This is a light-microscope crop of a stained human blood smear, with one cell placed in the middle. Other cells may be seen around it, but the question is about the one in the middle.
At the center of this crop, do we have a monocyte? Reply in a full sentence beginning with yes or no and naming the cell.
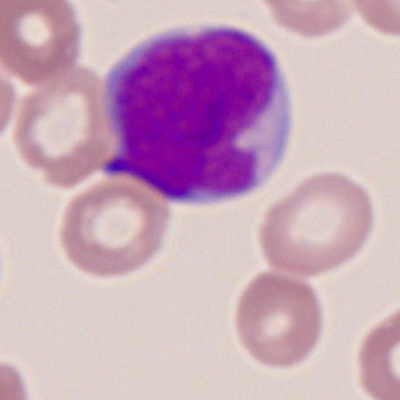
No, instead of being a monocyte, the middle cell is a myeloblast.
